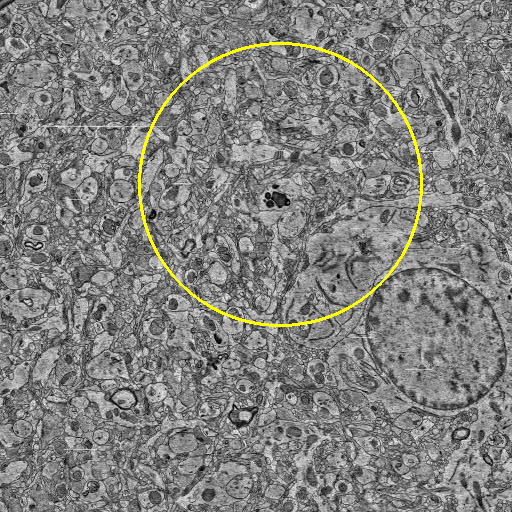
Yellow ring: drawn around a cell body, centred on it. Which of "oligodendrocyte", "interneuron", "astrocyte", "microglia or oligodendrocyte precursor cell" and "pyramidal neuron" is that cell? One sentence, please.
That cell body is from a microglial cell or oligodendrocyte precursor cell.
